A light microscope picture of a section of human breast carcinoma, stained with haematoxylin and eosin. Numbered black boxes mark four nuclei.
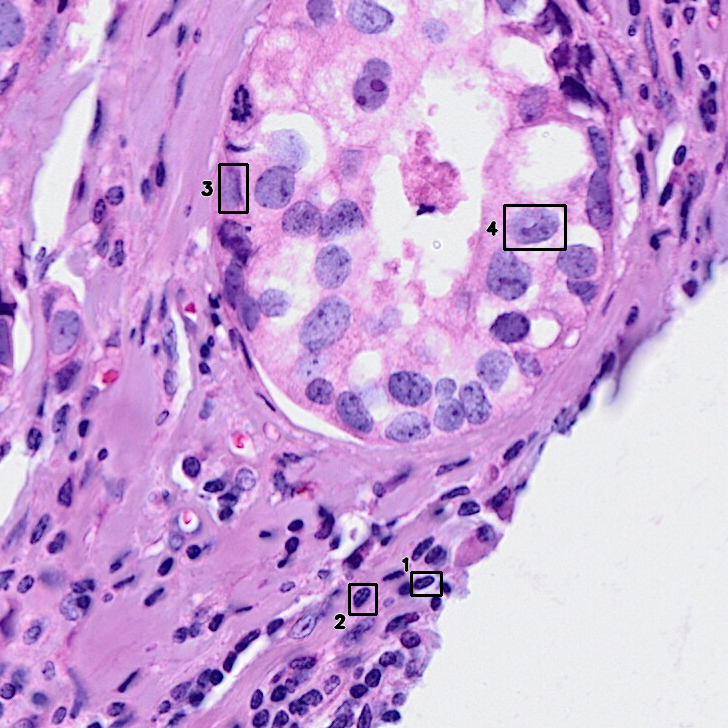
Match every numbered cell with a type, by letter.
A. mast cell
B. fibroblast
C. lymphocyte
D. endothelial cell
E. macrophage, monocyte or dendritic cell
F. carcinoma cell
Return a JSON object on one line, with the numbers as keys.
{"1": "C", "2": "C", "3": "F", "4": "F"}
